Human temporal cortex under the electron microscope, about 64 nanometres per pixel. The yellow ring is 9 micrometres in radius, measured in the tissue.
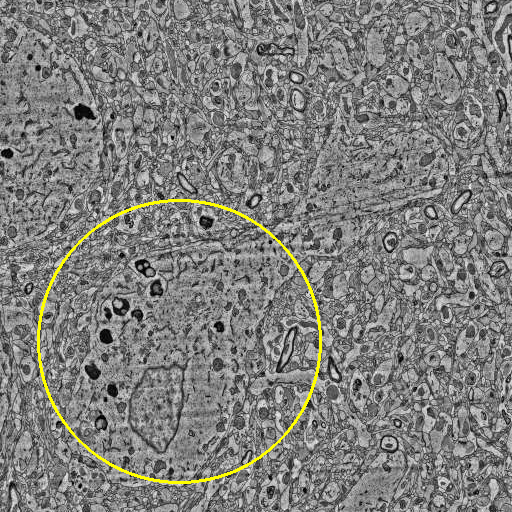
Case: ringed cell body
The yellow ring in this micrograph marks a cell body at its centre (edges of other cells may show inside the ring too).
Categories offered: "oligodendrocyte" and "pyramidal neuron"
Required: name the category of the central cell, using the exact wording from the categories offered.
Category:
pyramidal neuron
